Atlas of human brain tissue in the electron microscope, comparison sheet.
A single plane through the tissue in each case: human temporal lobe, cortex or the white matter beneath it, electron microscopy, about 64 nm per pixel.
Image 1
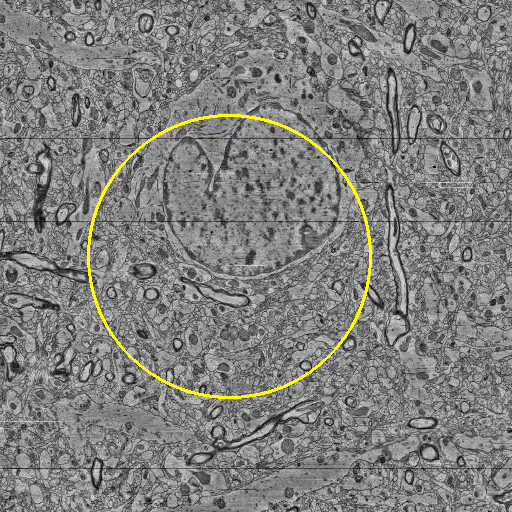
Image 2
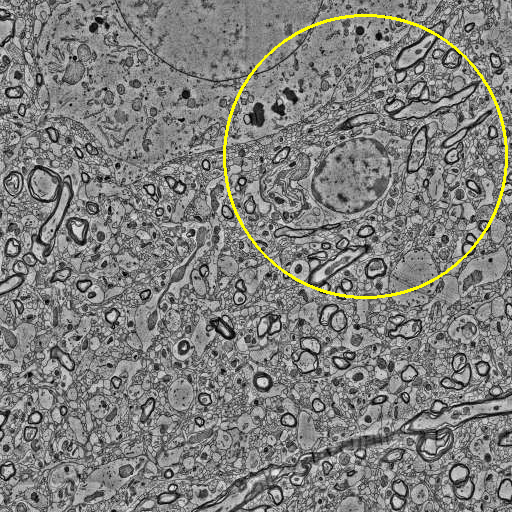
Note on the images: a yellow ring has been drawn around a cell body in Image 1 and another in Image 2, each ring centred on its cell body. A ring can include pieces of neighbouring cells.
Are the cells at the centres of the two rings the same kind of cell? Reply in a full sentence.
Yes, both cells are of the same kind.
